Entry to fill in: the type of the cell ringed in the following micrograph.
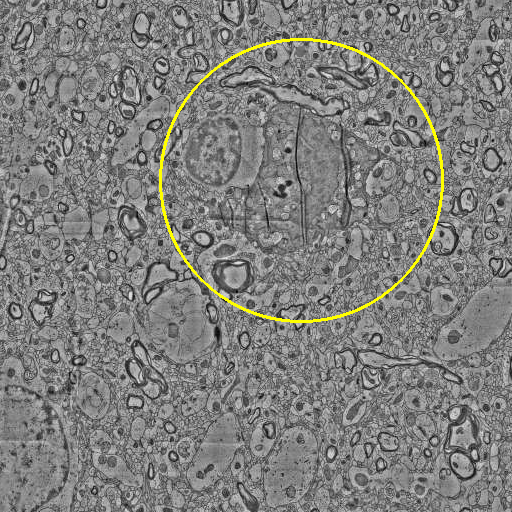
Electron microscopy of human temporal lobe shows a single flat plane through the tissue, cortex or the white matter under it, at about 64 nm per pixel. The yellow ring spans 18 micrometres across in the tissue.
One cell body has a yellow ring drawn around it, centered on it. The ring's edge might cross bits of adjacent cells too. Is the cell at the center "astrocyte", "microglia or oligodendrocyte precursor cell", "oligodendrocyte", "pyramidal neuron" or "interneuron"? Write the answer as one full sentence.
This entry names an interneuron as the cell whose body lies at the ring's center.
